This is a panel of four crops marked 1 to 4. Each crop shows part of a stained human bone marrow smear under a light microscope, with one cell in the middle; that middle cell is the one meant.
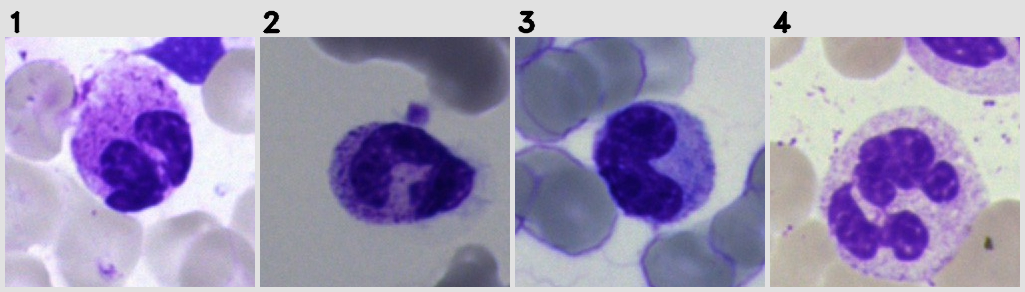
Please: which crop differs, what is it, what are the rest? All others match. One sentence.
The single exception among the crops is crop 3, which is a band neutrophil; the rest show segmented neutrophils.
